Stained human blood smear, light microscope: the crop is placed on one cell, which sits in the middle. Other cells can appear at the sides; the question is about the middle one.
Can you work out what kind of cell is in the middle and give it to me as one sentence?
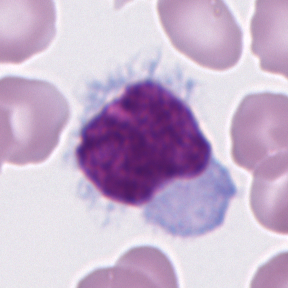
The cell of interest, in the center, is a hairy cell.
